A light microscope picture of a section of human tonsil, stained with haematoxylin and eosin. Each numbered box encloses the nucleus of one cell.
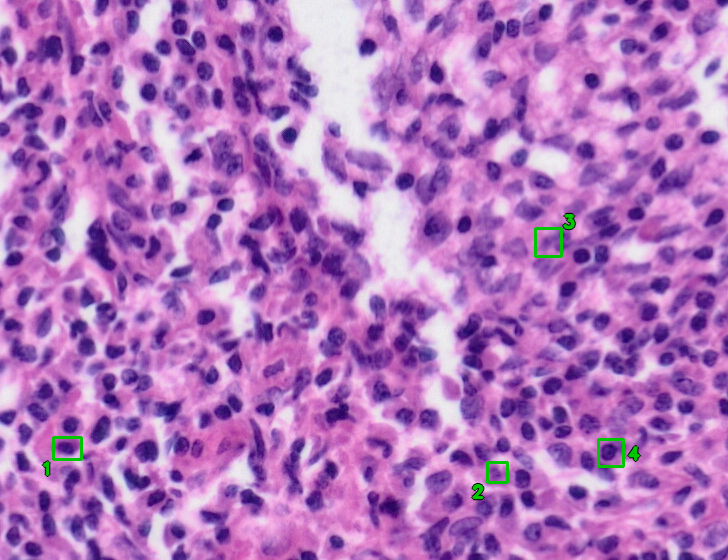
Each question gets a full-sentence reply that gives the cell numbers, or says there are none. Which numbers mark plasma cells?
The cells identified by the numbers 1, 2 and 4 are plasma cells.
